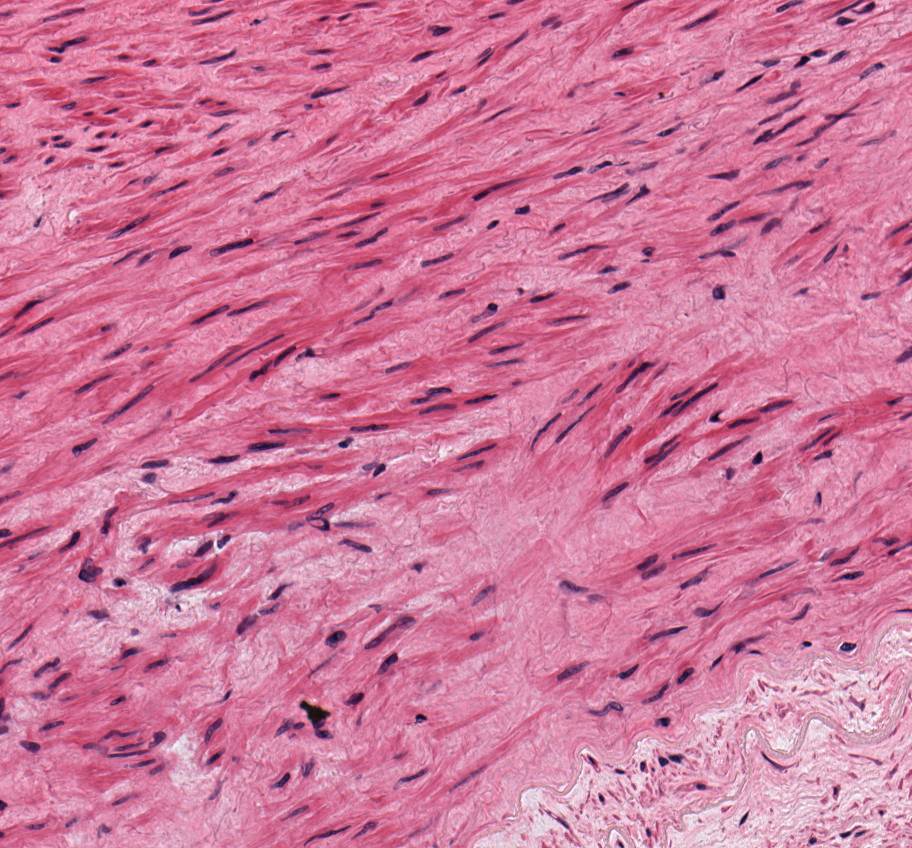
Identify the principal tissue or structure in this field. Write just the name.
tunica media of an artery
